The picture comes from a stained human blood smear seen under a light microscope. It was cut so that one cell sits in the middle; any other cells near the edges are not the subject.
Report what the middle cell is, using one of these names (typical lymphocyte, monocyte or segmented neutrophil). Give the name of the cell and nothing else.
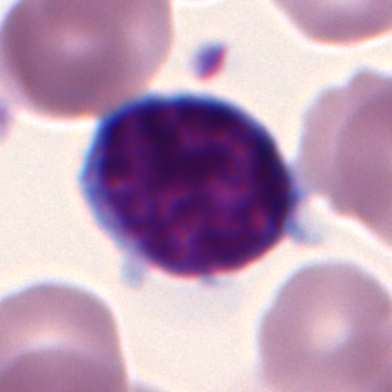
typical lymphocyte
